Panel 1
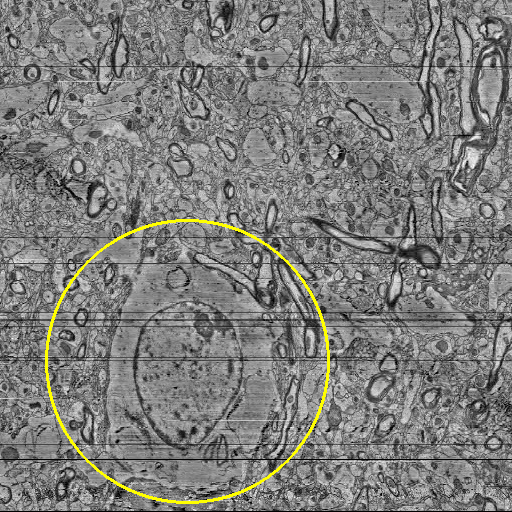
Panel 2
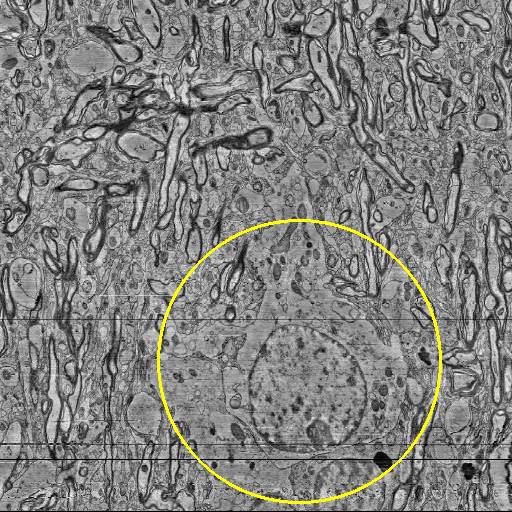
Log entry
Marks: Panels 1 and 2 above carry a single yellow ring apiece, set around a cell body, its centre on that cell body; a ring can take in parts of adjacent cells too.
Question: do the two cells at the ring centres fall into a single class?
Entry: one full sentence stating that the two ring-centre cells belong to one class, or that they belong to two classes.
The two ring-centre cells in Panels 1 and 2 belong to one class.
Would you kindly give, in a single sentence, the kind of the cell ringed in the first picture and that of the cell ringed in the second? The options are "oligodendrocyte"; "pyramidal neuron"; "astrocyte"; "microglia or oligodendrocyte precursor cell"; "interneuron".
Both the first and the second picture show an astrocyte in the ring.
